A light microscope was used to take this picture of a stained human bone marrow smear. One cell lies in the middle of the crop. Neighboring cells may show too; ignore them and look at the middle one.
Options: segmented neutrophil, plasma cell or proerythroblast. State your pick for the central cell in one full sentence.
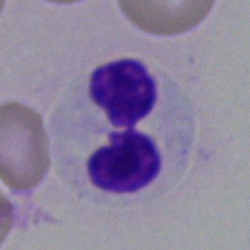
In this smear crop, the middle cell is a segmented neutrophil.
